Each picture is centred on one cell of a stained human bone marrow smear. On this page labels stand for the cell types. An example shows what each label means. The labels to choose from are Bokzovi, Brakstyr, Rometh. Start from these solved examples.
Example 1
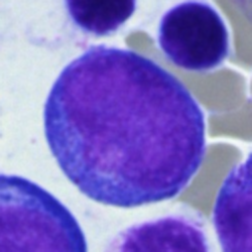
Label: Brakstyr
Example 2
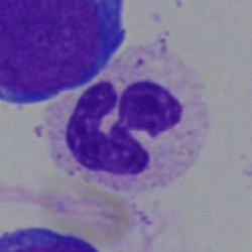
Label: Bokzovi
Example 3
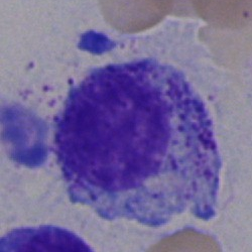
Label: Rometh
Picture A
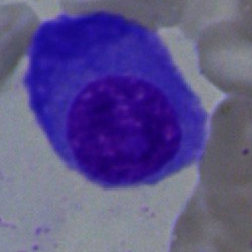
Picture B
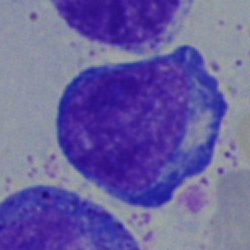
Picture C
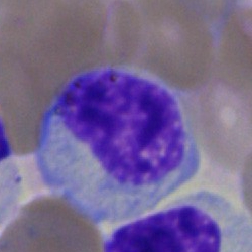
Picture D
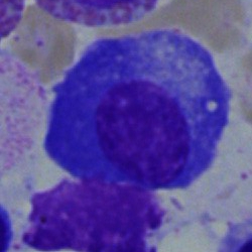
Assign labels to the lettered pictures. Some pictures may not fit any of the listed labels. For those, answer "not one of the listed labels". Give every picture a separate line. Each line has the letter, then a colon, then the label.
A: not one of the listed labels
B: Brakstyr
C: Rometh
D: not one of the listed labels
